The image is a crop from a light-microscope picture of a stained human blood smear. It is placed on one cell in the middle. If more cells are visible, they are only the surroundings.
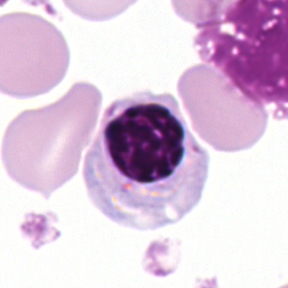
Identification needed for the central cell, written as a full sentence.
The crop centres on a single cell, and that cell is a normoblast.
